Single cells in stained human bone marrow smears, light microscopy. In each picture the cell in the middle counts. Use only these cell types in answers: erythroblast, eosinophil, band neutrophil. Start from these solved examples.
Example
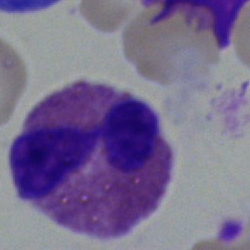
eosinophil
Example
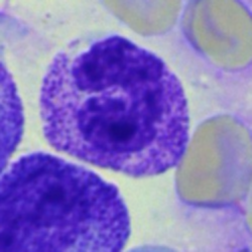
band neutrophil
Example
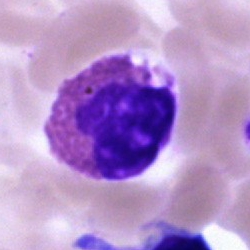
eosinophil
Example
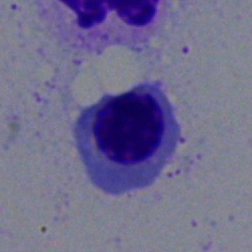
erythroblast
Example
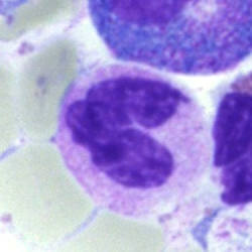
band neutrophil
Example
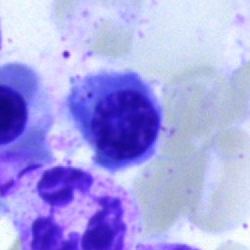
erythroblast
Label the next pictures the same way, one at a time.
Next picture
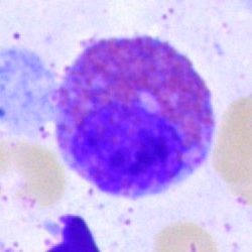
eosinophil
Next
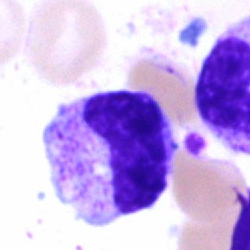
band neutrophil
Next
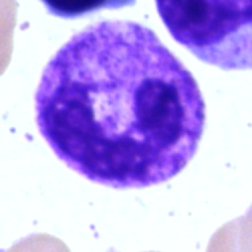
band neutrophil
